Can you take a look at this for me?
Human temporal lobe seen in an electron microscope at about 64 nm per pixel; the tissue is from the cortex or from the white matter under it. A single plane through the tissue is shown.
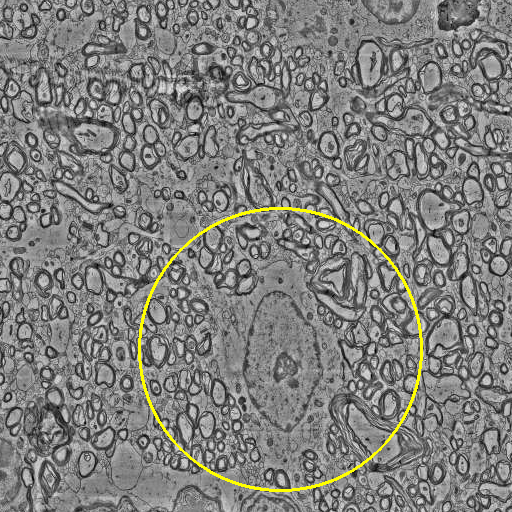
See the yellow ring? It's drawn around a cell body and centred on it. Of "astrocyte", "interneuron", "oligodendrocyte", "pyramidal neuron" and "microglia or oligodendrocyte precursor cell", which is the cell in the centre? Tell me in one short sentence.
The one in the centre is an astrocyte.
